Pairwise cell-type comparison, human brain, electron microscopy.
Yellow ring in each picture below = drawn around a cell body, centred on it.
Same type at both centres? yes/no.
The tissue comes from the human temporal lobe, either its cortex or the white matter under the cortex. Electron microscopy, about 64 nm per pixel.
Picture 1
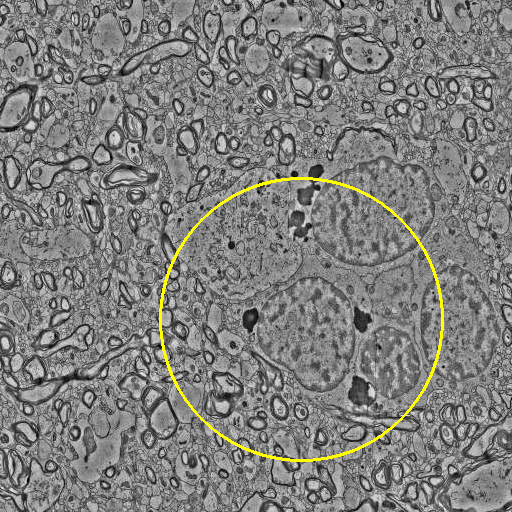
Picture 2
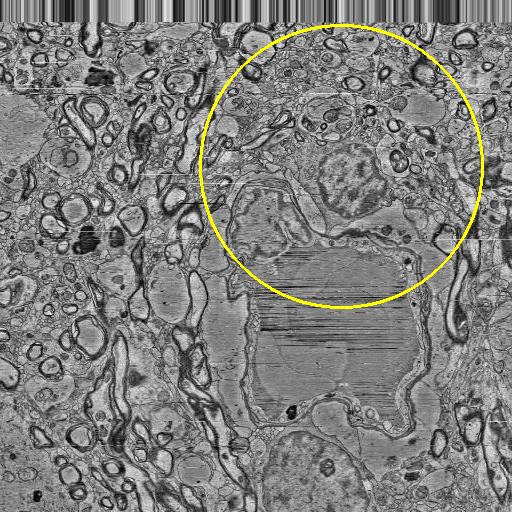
yes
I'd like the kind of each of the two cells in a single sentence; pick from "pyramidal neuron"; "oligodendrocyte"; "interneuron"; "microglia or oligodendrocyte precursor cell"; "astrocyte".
Both rings mark an oligodendrocyte, one in each picture.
